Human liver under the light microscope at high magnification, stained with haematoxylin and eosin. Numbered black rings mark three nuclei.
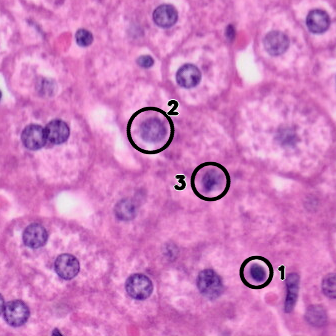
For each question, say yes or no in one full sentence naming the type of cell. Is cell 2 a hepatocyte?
Yes, the cell numbered 2 in this tissue is a hepatocyte.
